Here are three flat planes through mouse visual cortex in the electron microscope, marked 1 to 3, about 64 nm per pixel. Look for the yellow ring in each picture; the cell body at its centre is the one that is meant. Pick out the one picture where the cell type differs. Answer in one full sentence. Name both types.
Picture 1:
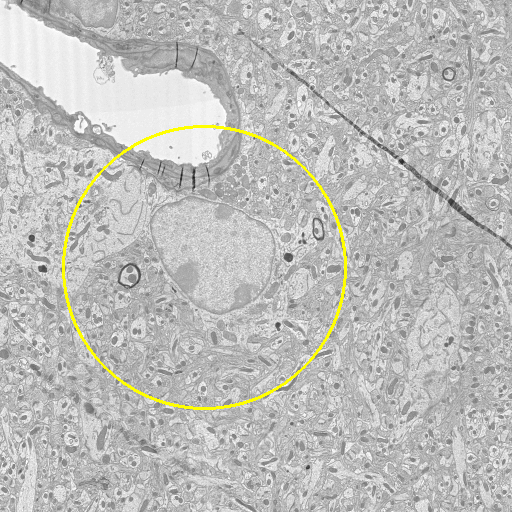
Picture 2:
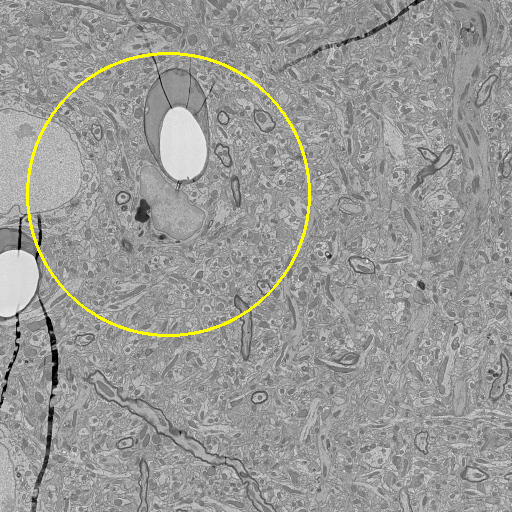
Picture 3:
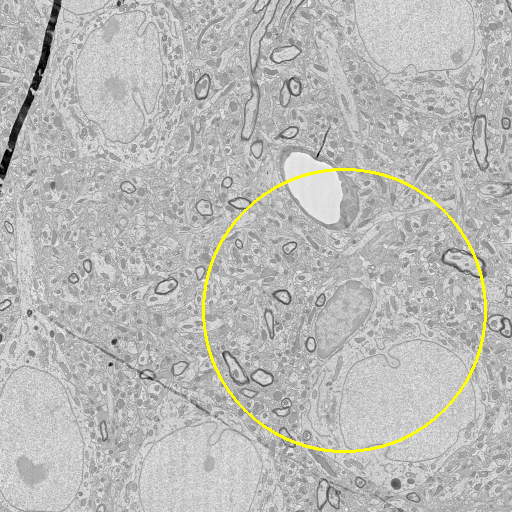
Unlike the rest, which show microglial cells, picture 1 shows an astrocyte.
